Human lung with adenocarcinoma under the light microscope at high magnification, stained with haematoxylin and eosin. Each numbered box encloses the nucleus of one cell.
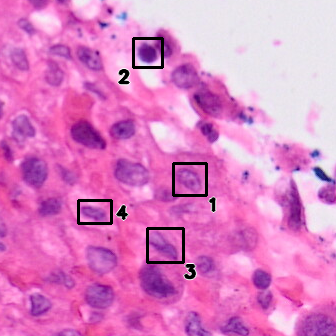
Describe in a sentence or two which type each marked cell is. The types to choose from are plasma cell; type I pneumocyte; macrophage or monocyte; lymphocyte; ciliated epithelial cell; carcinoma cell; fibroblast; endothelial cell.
Cell 1 is a macrophage or monocyte, cell 2 is a lymphocyte, cell 3 is a macrophage or monocyte and cell 4 is a macrophage or monocyte.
